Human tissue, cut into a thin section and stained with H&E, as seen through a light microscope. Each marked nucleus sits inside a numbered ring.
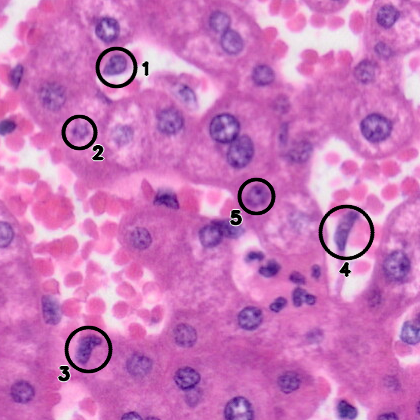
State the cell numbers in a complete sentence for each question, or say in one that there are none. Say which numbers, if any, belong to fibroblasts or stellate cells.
Cell 3 is a fibroblast or stellate cell, and it is the only numbered cell that is.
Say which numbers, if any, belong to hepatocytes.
The cells numbered 2 and 5 are identified as hepatocytes.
